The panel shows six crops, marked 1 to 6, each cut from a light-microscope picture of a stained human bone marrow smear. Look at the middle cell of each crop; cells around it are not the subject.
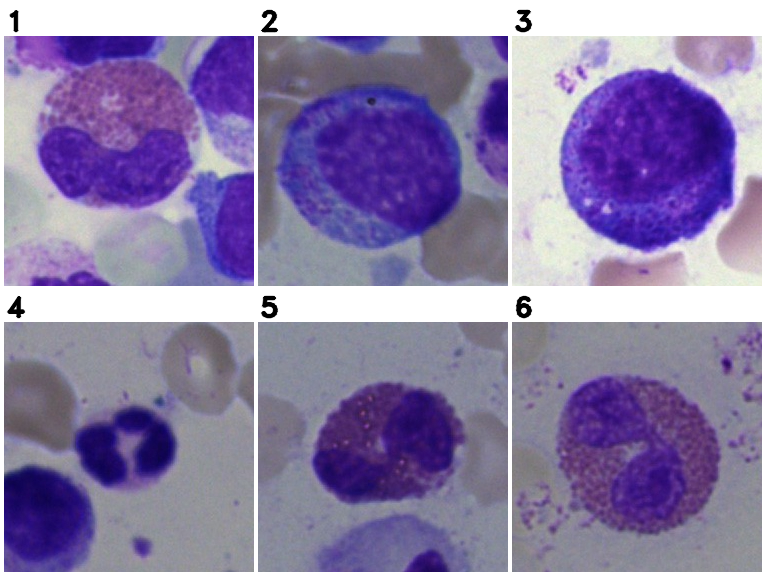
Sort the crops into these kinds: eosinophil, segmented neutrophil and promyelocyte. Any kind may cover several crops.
1: eosinophil
2: promyelocyte
3: promyelocyte
4: segmented neutrophil
5: eosinophil
6: eosinophil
